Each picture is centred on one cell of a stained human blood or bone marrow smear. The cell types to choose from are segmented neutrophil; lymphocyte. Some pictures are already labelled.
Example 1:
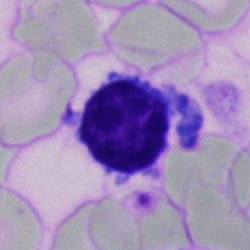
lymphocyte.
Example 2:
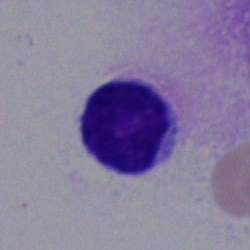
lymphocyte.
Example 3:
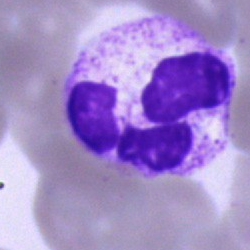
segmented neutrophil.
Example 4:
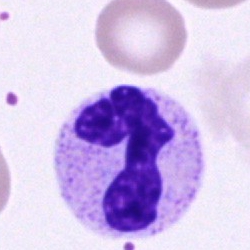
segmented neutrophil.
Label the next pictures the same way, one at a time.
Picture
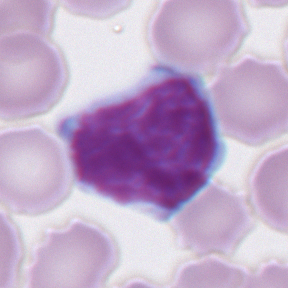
lymphocyte.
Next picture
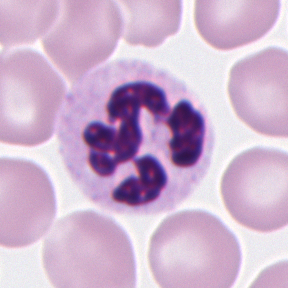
segmented neutrophil.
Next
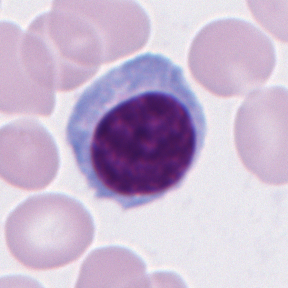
lymphocyte.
